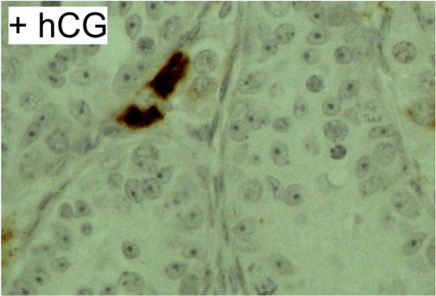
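Here is testis at higher magnification. Tubules fill most of the field, their cells with round, pale nuclei and grey-green cytoplasm, and thin walls of flattened cells separate them. In the narrow angle between tubules at the upper left lies a small cluster of cells whose cytoplasm is packed with dark brown stain, so dense that their nuclei are hard to make out. A little more brown shows at the lower left edge. The rest of the tissue stays unstained apart from the pale counterstain, so the brown cells stand out sharply in the space between tubules.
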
